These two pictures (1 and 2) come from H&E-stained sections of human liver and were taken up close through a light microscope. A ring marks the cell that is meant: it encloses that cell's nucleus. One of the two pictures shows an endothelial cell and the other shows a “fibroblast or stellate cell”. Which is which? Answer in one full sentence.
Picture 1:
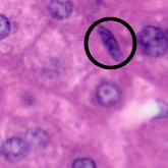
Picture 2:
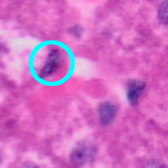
The cell in picture 1 is a “fibroblast or stellate cell”, and the one in picture 2 is an endothelial cell.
